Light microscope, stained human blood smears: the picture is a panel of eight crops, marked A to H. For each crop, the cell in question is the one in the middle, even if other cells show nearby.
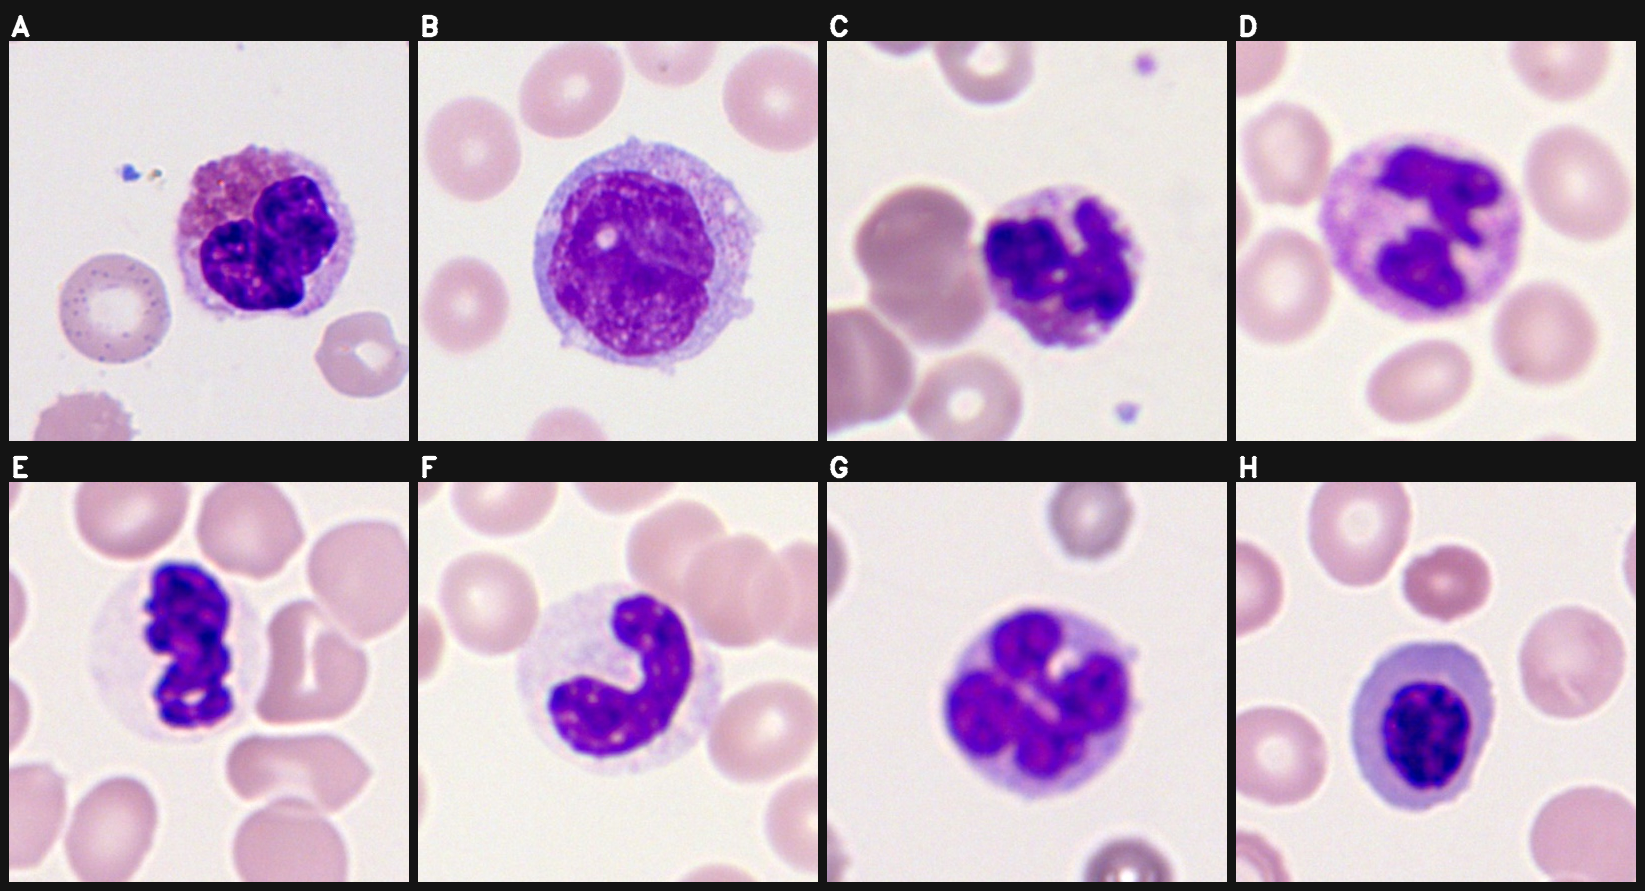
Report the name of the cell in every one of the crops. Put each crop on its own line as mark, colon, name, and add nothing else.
A: eosinophil
B: monocyte
C: eosinophil
D: segmented neutrophil
E: segmented neutrophil
F: band neutrophil
G: monocyte
H: erythroblast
